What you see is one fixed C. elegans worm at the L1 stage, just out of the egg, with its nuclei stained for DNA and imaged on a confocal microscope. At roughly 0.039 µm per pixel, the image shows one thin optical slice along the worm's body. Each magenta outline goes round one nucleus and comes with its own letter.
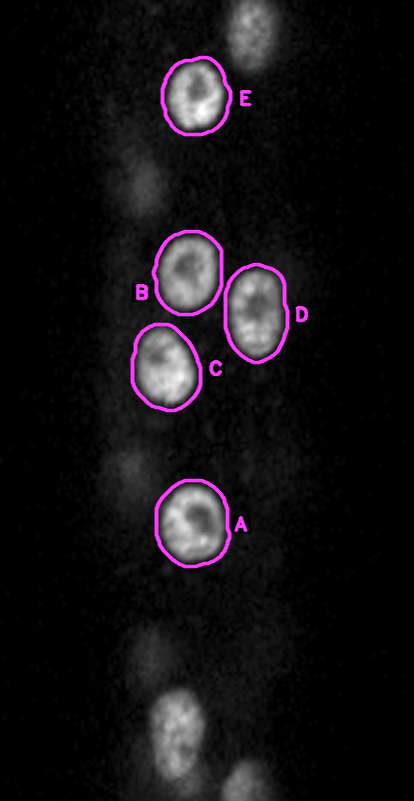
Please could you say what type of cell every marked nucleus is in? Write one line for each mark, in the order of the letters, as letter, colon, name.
A: seam cell
B: seam cell
C: P cell (ventral epidermal blast cell)
D: hypodermal cell (hyp)
E: Q neuroblast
